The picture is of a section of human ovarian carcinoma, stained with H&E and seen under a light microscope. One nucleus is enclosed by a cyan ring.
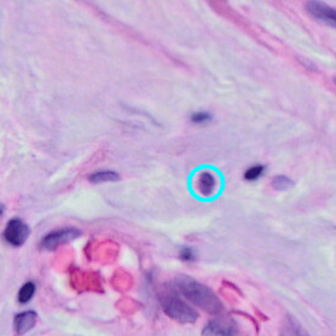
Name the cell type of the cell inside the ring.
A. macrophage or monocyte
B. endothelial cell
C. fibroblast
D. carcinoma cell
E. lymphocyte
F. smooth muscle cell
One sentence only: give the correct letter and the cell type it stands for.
In short, option E: the cell inside the ring is a lymphocyte.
